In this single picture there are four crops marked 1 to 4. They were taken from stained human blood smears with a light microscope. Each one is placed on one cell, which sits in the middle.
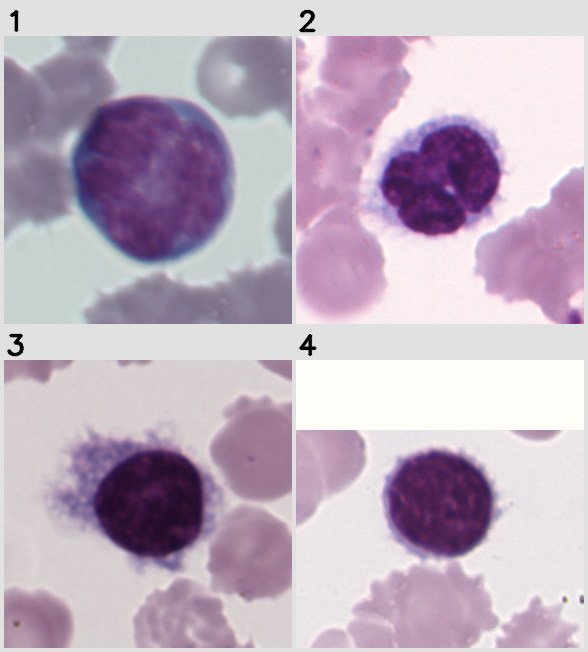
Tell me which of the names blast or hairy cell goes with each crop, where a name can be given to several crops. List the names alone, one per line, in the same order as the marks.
blast
hairy cell
hairy cell
hairy cell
